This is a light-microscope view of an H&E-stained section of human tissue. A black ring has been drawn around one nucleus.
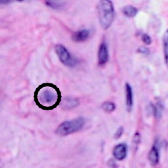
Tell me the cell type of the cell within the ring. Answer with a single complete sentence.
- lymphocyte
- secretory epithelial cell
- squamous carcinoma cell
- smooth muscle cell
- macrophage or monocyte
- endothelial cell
For the purposes of cell typing, the cell within the ring is categorized as a smooth muscle cell.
